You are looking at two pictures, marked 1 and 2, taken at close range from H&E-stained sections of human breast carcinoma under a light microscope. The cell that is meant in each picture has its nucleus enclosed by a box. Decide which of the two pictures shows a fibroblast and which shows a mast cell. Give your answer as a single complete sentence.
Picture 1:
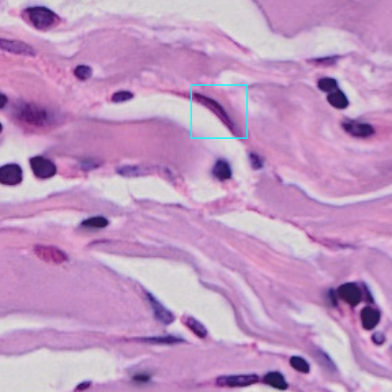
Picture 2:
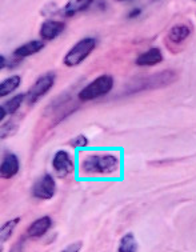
In picture 1 the cell is a fibroblast; in picture 2, a mast cell.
